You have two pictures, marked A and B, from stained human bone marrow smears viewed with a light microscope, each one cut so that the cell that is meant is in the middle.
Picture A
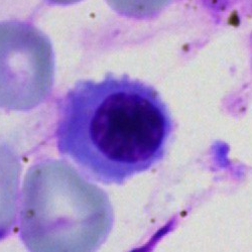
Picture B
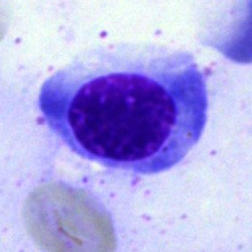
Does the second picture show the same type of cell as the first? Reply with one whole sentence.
Yes, both are erythroblasts.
